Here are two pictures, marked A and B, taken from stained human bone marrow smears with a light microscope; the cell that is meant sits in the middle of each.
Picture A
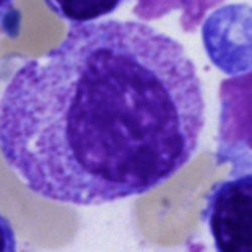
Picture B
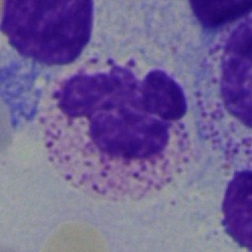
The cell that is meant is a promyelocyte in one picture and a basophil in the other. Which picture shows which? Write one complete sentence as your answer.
Picture A shows a promyelocyte and picture B shows a basophil.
